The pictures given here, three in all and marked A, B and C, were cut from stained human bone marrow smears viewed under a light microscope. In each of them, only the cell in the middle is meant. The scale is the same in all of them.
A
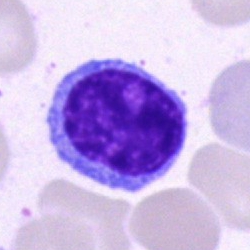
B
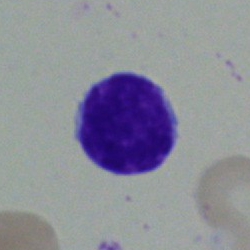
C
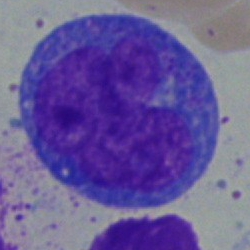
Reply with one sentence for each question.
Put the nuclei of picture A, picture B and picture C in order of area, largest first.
The order is C, A, B, beginning with the largest.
